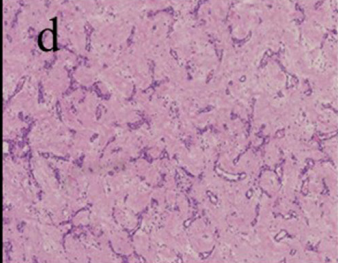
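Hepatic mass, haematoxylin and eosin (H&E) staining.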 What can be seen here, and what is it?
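This is tumour tissue in which small, narrow, slit-like channels are scattered through a pale pink background. The channels are outlined by purple nuclei and do not open into wide lumens. The surrounding tissue is pale and glassy, with few nuclei. There are no large blood-filled spaces. This appearance fits obliterated or narrowed vascular channels set in sclerotic, hyalinised tissue.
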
